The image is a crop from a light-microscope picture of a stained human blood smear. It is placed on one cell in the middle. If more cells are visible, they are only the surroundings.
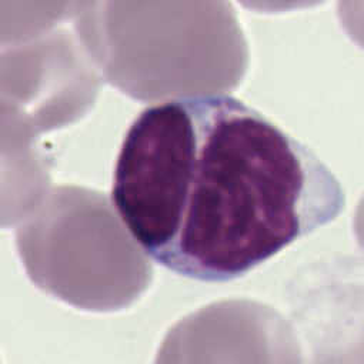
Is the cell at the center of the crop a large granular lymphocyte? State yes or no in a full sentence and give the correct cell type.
Yes, that is a large granular lymphocyte in the middle of the crop.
